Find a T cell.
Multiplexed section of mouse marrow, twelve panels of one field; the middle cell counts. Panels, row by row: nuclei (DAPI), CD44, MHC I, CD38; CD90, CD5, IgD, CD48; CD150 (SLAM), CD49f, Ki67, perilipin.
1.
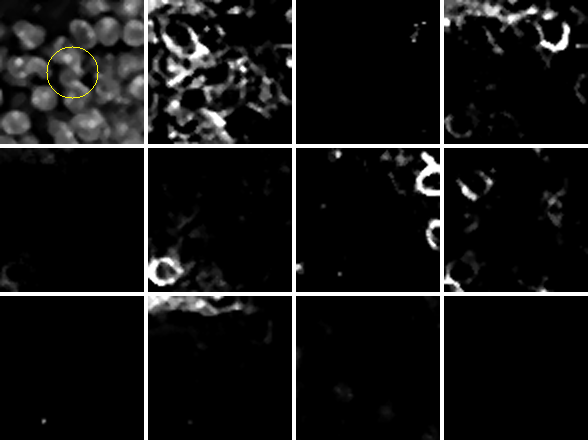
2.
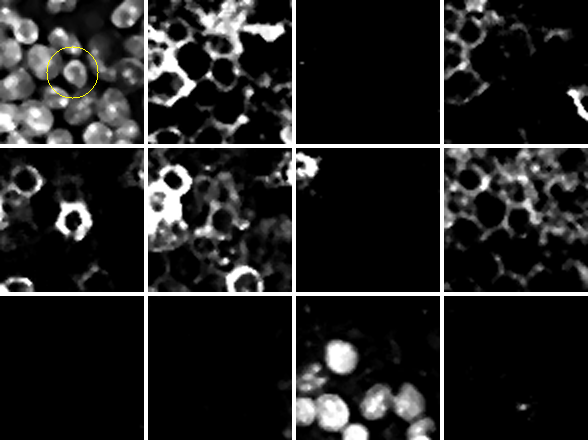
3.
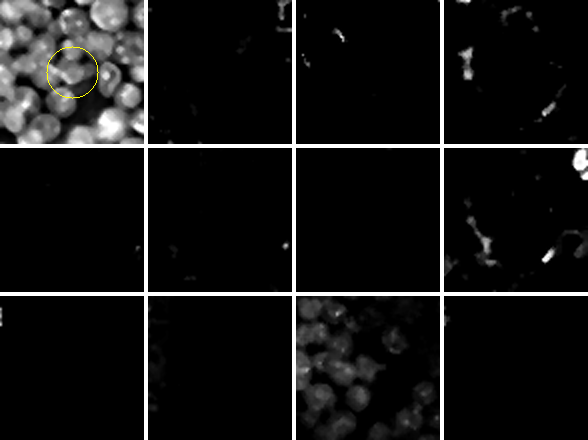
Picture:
2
